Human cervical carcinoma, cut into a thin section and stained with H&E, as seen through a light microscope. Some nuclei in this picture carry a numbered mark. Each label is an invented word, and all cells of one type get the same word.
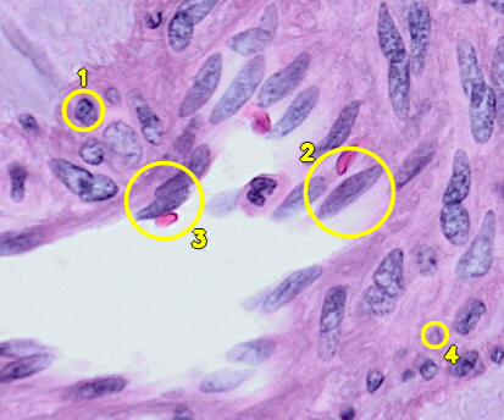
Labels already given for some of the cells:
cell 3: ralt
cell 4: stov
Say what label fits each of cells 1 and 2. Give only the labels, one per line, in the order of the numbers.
stov
ralt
